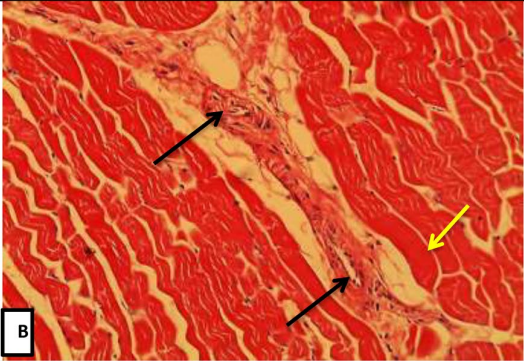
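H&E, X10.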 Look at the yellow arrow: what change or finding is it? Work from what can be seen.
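The arrowed fibre is smooth, homogeneous and deep red. It borders a pale empty gap. That points to this answer: zenker necrosis.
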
